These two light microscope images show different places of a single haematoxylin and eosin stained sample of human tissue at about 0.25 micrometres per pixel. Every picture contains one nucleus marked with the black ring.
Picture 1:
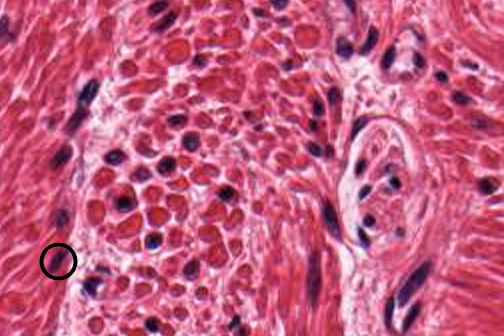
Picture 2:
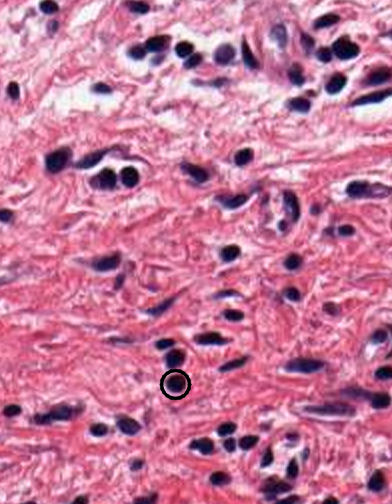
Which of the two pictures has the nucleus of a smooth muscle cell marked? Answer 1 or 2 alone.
1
